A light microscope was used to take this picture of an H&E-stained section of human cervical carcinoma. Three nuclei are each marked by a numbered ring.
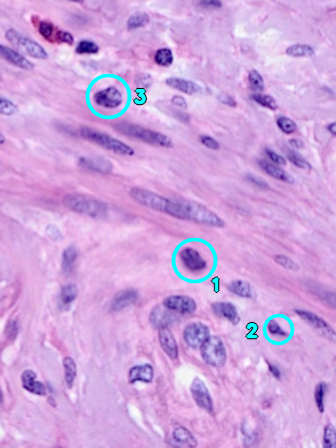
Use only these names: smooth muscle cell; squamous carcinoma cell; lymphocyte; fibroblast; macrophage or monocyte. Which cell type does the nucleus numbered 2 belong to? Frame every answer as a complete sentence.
Numbered cell 2 is a fibroblast in this tissue section.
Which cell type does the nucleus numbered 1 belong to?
The cell identified by the number 1 is a lymphocyte.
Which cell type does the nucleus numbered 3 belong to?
The nucleus labeled 3 belongs to a lymphocyte.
